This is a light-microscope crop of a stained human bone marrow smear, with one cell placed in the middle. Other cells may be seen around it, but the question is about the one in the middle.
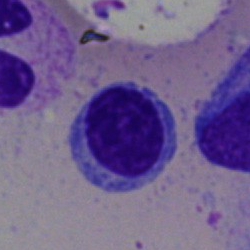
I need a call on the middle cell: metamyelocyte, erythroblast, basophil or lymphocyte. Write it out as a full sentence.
The cell at the central position in this crop is a lymphocyte.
